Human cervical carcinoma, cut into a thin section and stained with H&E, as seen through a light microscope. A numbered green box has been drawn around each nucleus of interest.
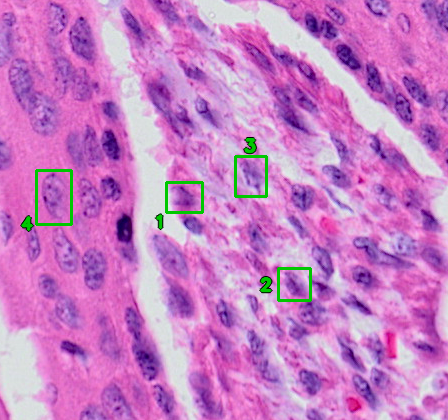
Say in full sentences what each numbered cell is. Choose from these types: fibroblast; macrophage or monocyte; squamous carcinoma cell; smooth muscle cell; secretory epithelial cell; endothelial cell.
Cell 1 is a macrophage or monocyte. Cells 2 and 3 are fibroblasts. Cell 4 is a squamous carcinoma cell.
